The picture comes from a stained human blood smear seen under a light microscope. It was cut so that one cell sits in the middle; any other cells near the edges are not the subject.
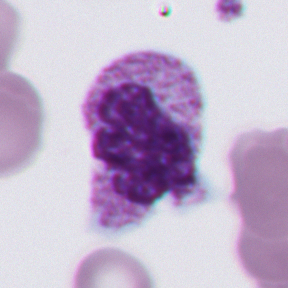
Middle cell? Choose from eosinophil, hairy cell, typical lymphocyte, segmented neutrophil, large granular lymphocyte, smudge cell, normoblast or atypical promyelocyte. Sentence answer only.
As for the cell in the middle, it is a segmented neutrophil.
